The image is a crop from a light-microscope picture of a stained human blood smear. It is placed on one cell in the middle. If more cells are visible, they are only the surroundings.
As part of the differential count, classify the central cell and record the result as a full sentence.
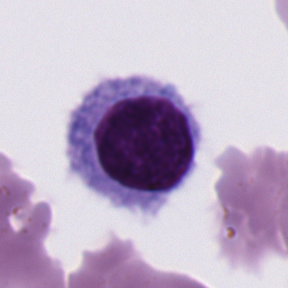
The cell centred in this crop is categorized as a hairy cell.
